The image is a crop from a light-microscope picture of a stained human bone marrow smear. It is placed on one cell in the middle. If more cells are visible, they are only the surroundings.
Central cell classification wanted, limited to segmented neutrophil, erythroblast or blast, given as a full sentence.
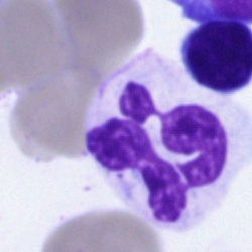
Within this crop, a segmented neutrophil occupies the central position.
